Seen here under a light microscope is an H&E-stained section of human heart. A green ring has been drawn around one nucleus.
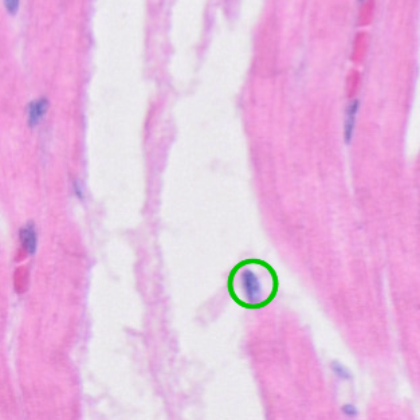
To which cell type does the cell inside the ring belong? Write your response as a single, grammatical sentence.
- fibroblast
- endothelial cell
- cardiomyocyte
Students should answer that the cell inside the ring is a fibroblast.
